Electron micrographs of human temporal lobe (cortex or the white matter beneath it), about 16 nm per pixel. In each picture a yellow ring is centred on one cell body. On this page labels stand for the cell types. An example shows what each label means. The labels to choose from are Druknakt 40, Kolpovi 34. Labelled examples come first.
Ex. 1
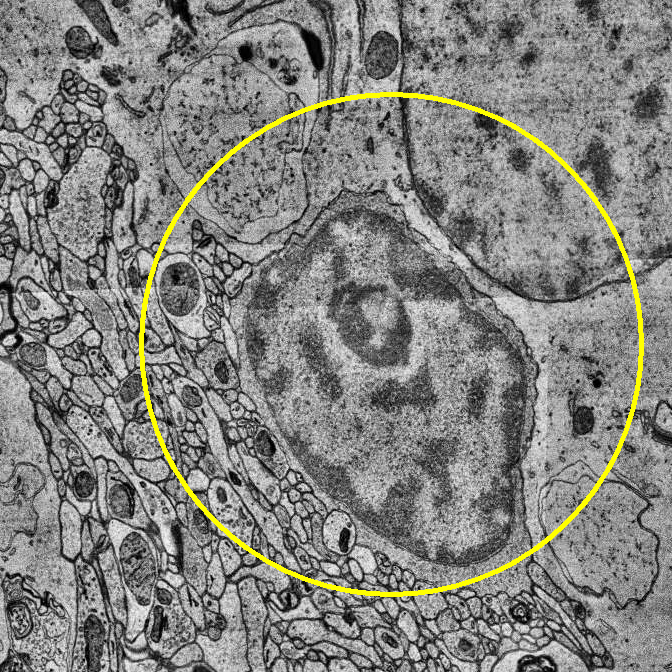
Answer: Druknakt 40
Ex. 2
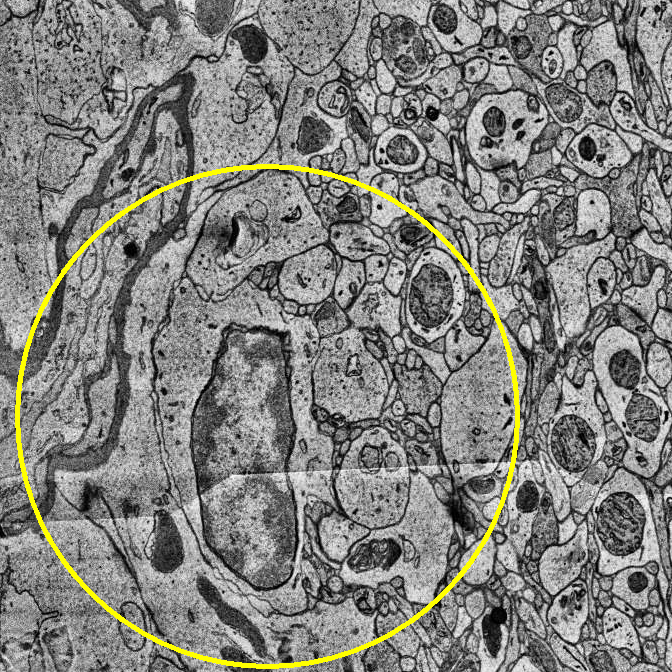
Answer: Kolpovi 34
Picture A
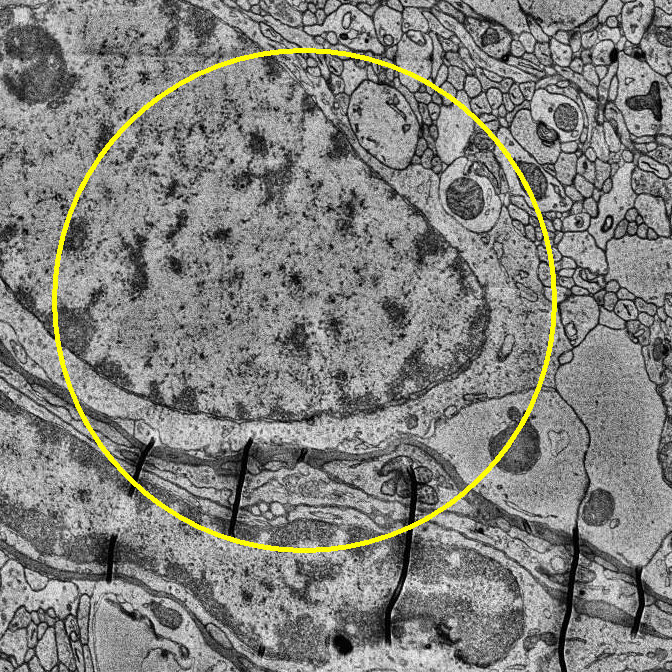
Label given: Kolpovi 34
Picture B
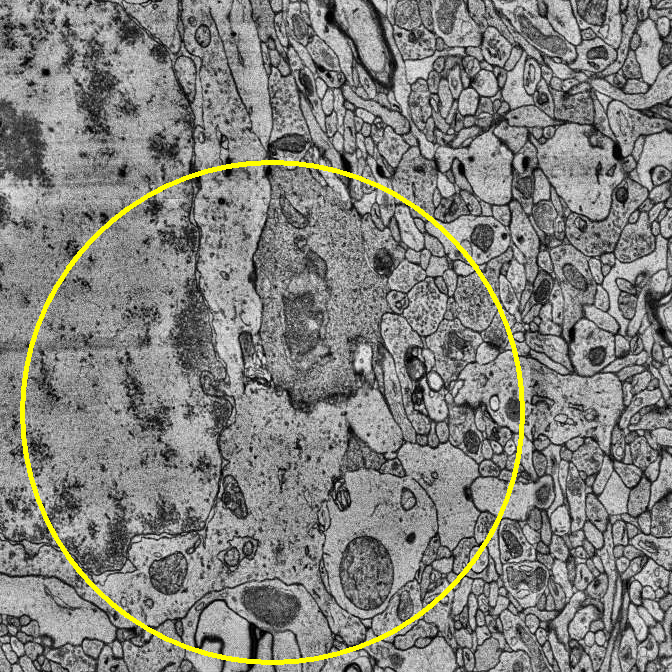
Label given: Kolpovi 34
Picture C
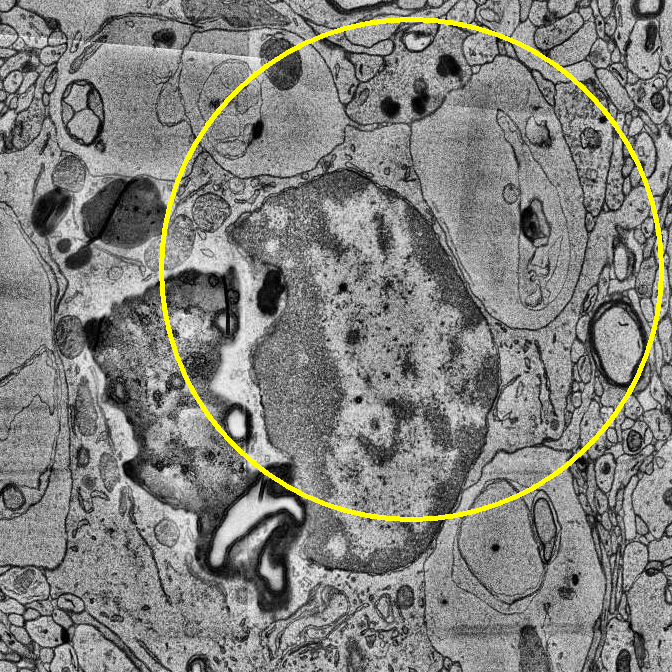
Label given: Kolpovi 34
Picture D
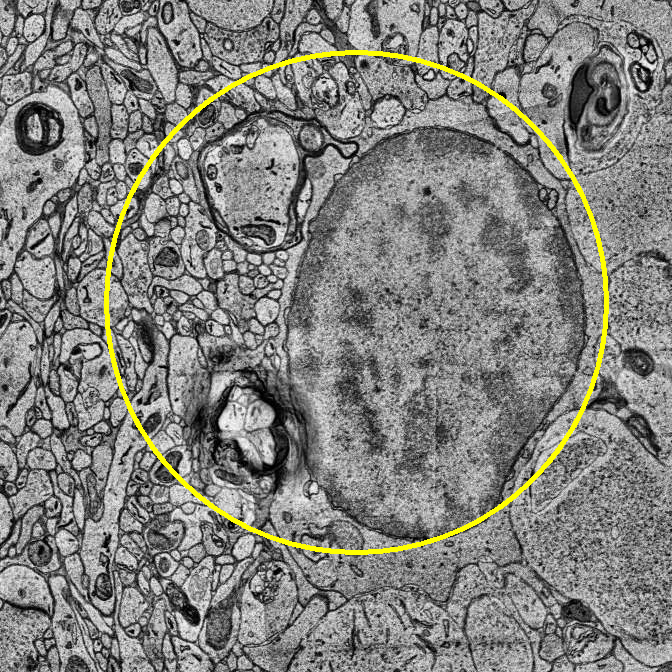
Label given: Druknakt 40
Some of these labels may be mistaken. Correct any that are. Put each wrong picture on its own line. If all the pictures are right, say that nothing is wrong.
B is labelled Kolpovi 34; correct label: Druknakt 40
